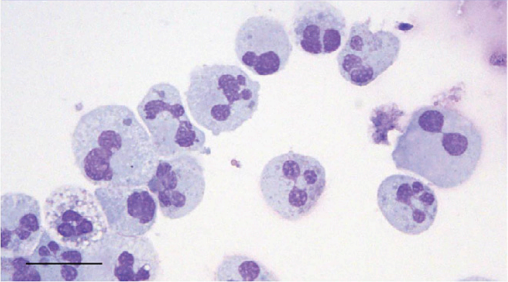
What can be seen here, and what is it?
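This cytospin preparation at high magnification shows a population of neutrophils, seen as round, separate cells with pale blue-grey cytoplasm. Their nuclei stain dark purple and are segmented, most often into two or three rounded lobes joined by thin strands, while a few are band-like or only indented. The cytoplasm is abundant relative to the nucleus and mostly finely textured, though one cell at the lower left has a coarsely granular to vacuolated cytoplasm. The cells lie singly or in small loose clusters, some touching at their margins, against a clear background with a little debris.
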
